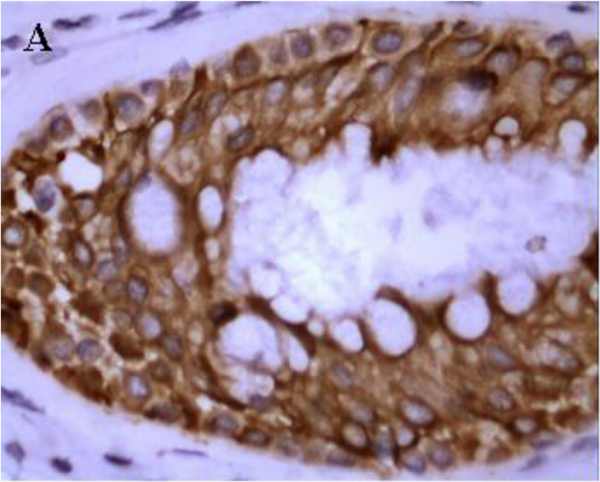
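A gland lined by several layers of epithelial cells surrounds a pale lumen, and the glandular epithelium is diffusely and strongly stained brown in its cytoplasm and along its cell borders. The nuclei are round to oval and blue, several clear vacuoles lie along the luminal side, and the thin stroma outside is unstained.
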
